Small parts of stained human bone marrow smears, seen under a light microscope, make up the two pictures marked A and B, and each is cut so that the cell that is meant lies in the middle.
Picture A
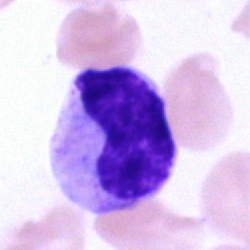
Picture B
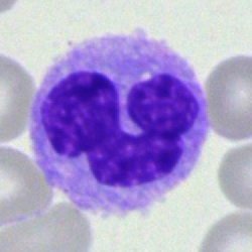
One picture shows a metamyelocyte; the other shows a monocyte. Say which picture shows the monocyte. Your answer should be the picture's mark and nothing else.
B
